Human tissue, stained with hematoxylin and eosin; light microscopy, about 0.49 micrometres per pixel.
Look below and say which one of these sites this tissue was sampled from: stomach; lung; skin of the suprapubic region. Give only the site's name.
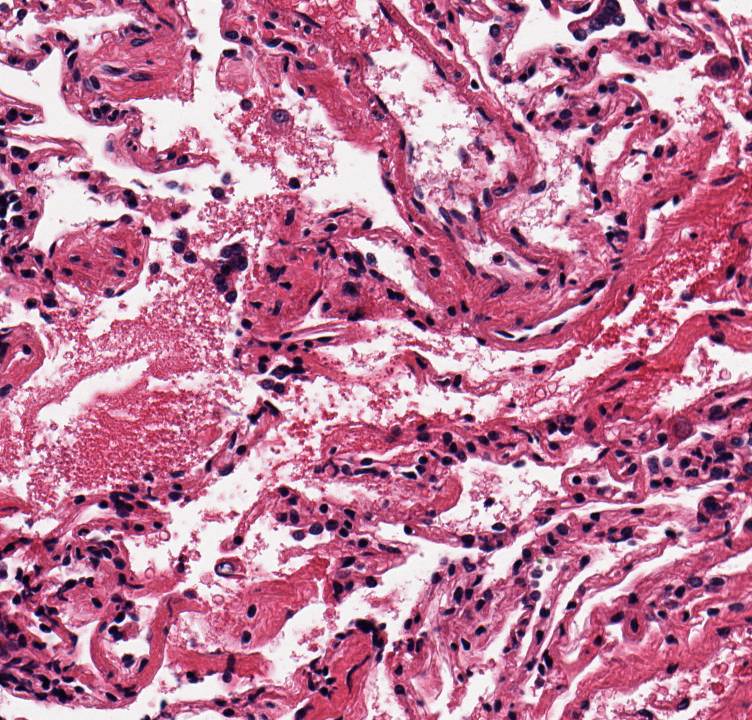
lung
